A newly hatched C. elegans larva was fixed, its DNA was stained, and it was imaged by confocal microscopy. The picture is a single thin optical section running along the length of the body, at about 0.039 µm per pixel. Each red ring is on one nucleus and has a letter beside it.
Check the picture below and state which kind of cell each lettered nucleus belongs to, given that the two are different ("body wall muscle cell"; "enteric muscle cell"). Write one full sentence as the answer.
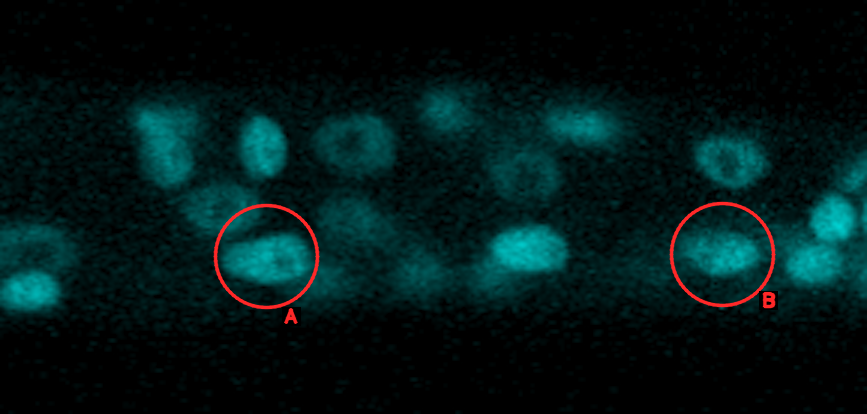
B belongs to an enteric muscle cell, and A to a body wall muscle cell.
